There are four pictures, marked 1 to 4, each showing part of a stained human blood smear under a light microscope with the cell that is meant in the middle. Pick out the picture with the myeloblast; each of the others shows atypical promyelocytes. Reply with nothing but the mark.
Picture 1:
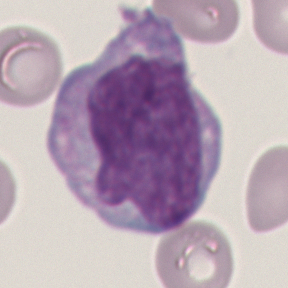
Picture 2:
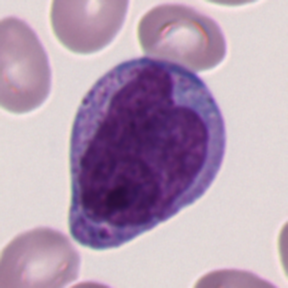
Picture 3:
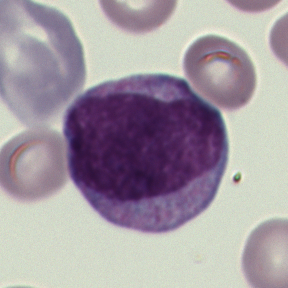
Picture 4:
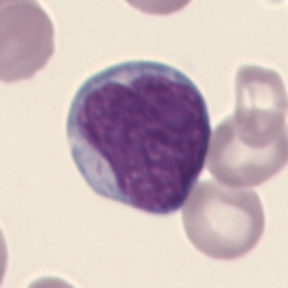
4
